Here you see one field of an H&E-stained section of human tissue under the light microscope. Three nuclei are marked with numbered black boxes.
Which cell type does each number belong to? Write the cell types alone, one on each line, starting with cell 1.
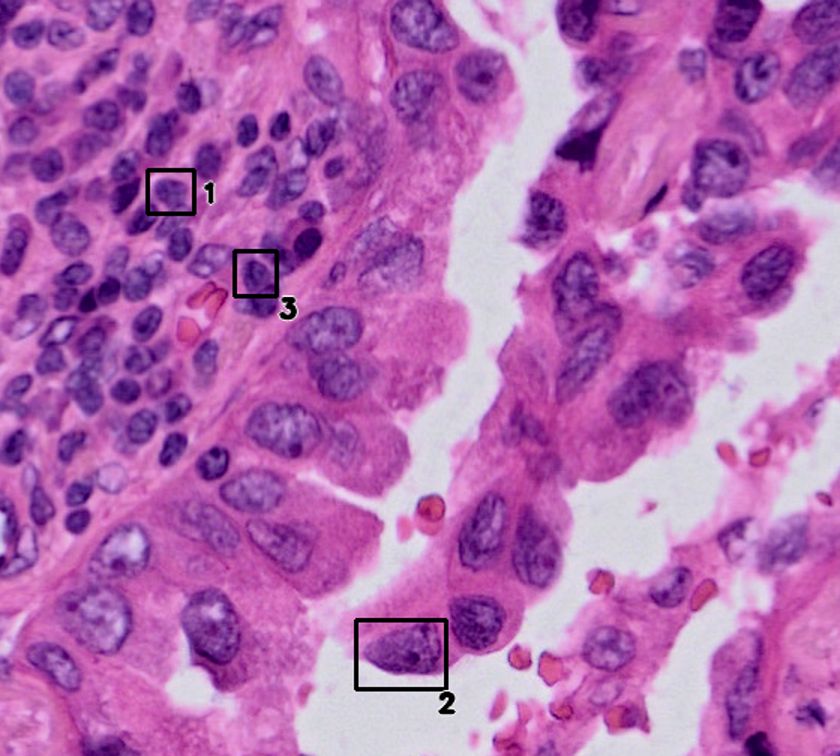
lymphocyte
carcinoma cell
lymphocyte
